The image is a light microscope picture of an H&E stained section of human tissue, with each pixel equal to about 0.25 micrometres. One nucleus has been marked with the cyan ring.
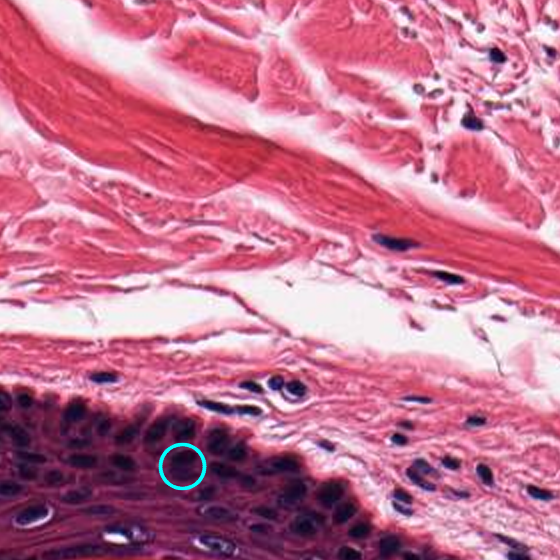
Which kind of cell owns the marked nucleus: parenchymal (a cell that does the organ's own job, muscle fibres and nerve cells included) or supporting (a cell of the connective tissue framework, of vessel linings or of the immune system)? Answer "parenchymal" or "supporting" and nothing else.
parenchymal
